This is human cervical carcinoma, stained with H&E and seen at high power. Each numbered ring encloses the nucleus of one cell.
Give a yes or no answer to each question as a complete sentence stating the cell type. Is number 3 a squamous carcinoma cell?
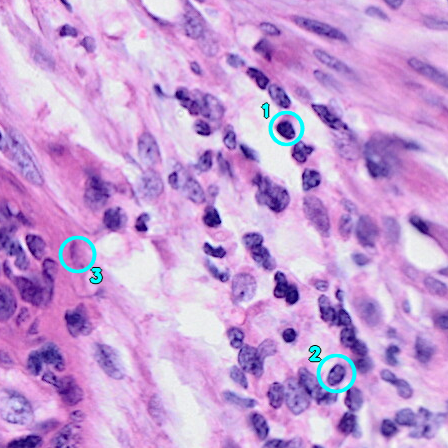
Yes, the cell identified by number 3 is a squamous carcinoma cell.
